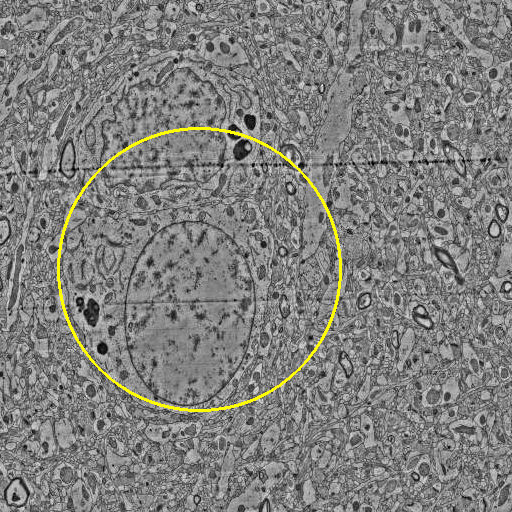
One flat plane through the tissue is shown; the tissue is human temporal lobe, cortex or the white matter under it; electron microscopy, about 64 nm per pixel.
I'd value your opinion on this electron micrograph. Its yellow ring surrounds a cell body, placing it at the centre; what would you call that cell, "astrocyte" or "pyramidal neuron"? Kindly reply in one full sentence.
It is a pyramidal neuron that sits centred within the yellow ring in this micrograph.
